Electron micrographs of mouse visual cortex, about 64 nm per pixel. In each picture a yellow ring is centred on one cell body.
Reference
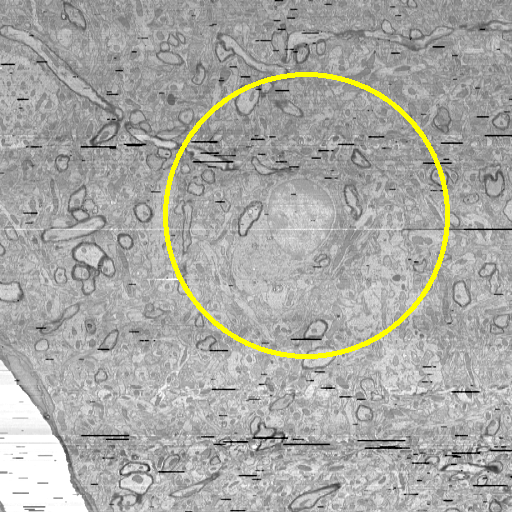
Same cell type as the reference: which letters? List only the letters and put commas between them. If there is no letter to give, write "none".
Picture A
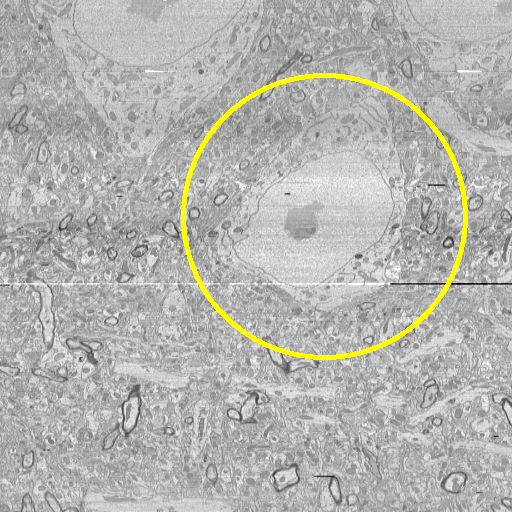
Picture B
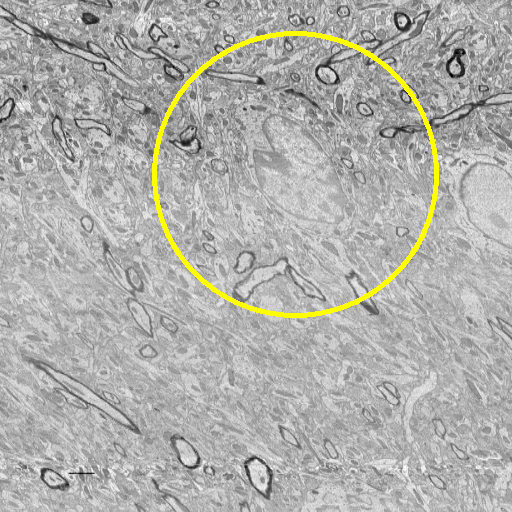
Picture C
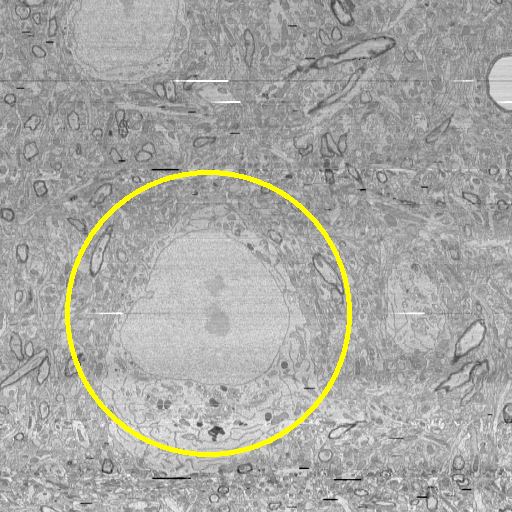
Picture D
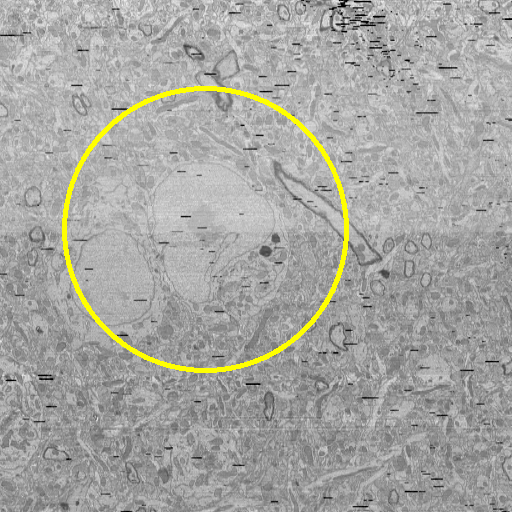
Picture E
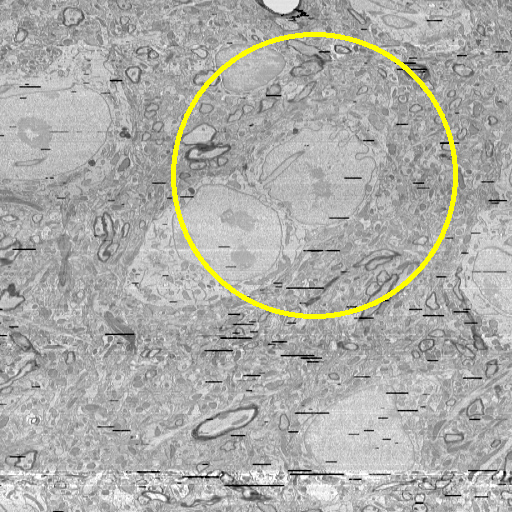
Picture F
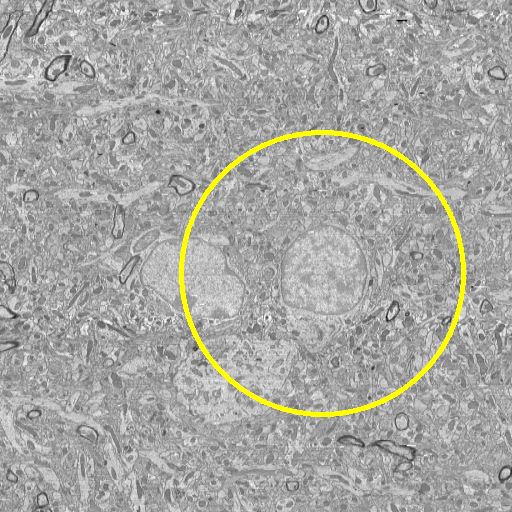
B, F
